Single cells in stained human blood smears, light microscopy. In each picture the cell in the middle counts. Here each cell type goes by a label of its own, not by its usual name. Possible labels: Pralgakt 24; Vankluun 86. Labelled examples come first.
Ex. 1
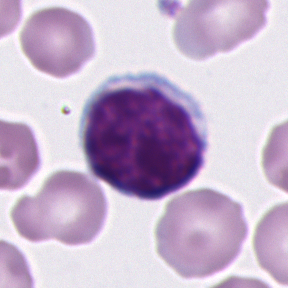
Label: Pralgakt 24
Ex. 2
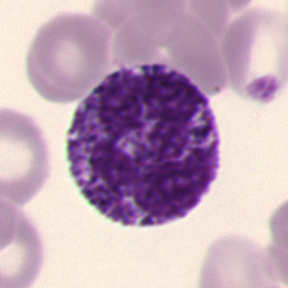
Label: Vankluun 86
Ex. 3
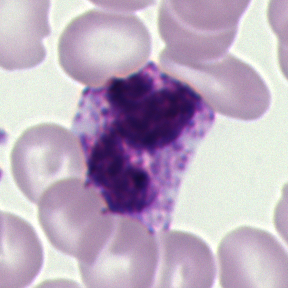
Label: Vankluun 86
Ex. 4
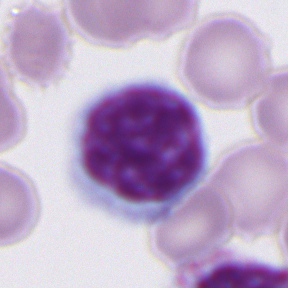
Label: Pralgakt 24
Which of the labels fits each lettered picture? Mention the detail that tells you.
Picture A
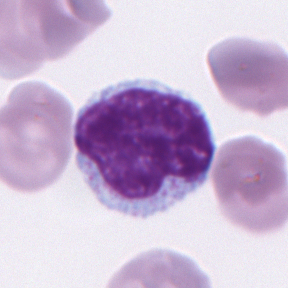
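Pralgakt 24. Evidence: Fine, dust-like pinkish-violet granules are scattered through the cytoplasm.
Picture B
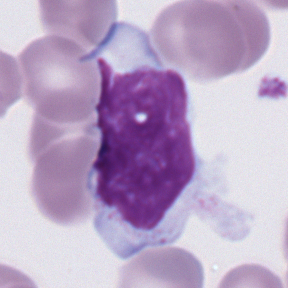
Pralgakt 24. Evidence: Fine reddish-pink granules are scattered in the lower cytoplasm.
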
